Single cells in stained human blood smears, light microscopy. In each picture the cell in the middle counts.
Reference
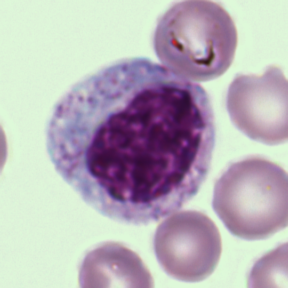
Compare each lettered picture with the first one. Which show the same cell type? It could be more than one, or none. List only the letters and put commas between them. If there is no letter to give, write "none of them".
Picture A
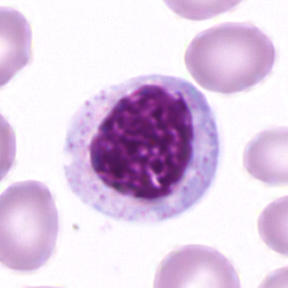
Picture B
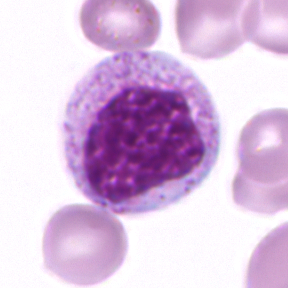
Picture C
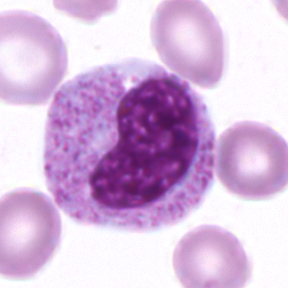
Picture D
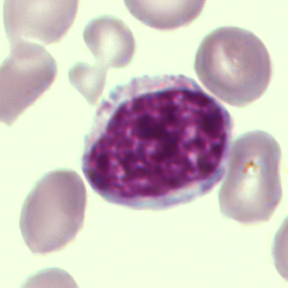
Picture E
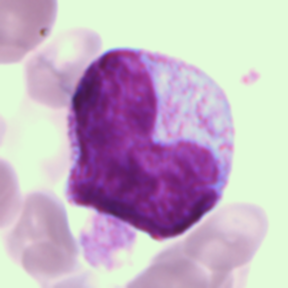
A, B, C, D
